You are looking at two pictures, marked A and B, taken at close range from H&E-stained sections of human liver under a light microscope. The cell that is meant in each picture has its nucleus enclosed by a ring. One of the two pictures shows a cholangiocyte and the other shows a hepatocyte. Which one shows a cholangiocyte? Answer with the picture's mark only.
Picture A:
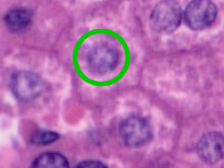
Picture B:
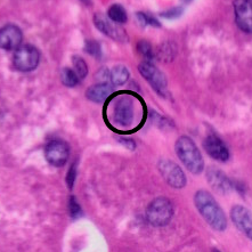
B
